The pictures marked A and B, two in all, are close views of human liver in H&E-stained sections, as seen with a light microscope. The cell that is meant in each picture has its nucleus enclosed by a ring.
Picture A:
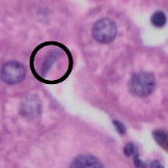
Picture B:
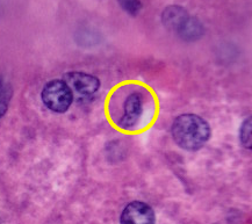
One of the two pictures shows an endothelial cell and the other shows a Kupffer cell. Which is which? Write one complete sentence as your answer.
Picture A shows an endothelial cell and picture B shows a Kupffer cell.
